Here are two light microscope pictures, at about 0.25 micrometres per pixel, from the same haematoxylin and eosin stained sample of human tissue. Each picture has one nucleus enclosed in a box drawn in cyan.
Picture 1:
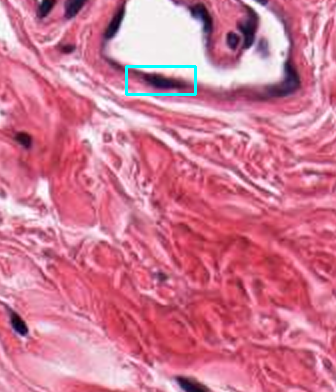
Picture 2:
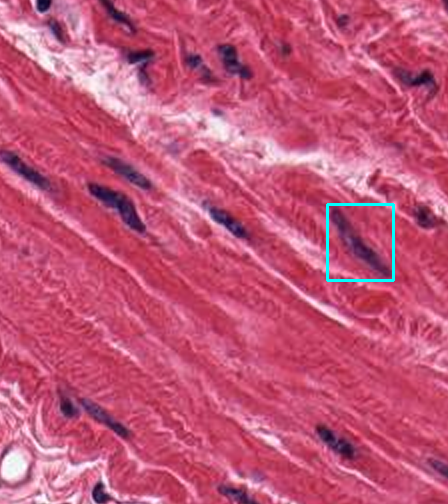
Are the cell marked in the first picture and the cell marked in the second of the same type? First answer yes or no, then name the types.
No, the first is an endothelial cell and the second a smooth muscle cell.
